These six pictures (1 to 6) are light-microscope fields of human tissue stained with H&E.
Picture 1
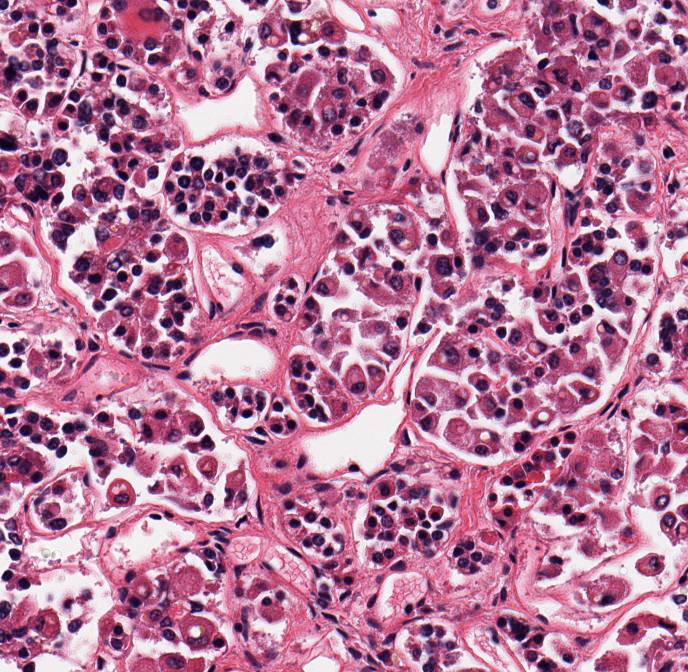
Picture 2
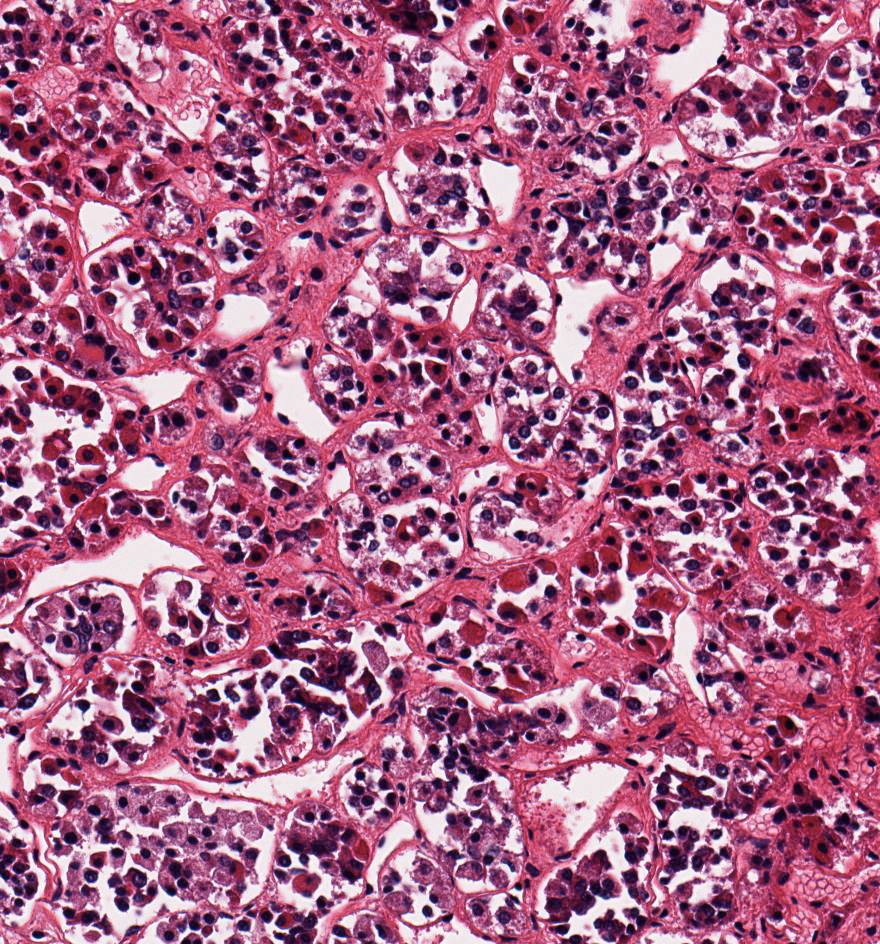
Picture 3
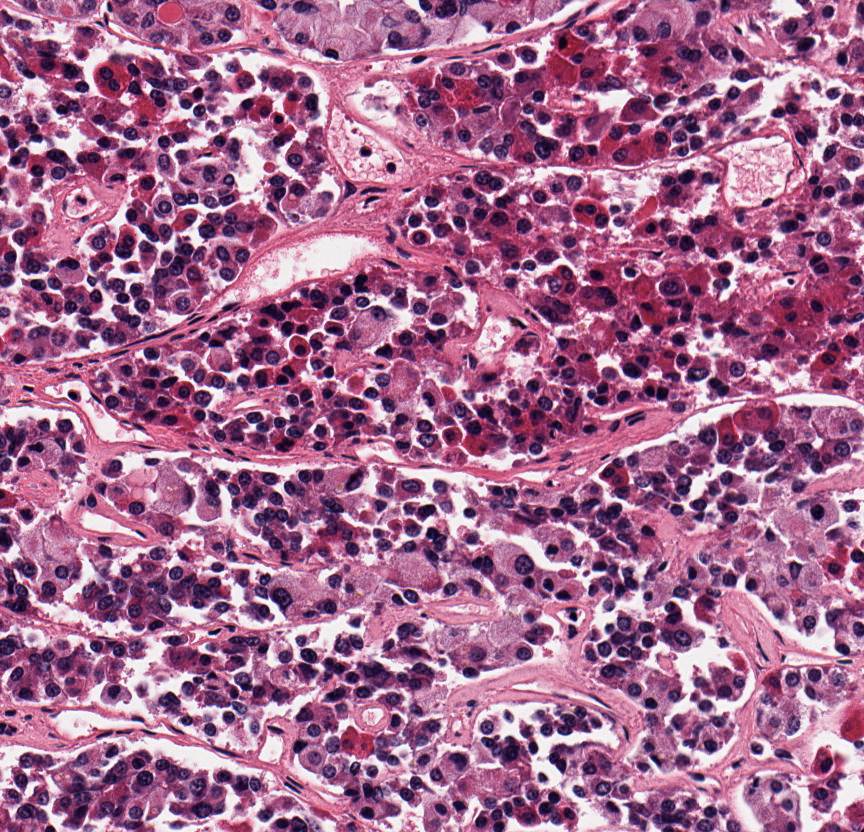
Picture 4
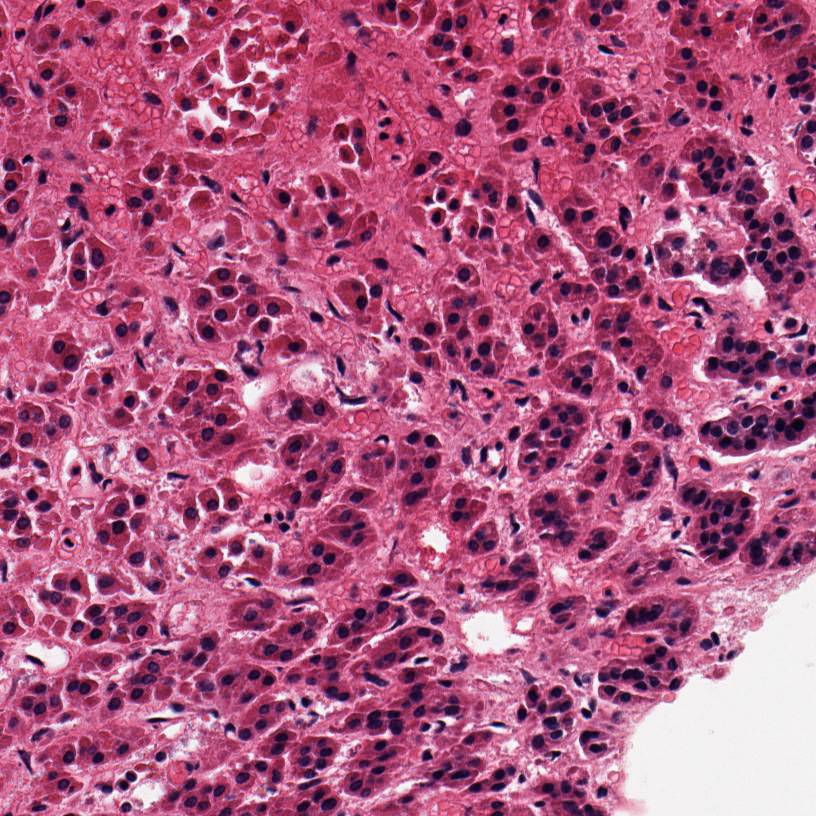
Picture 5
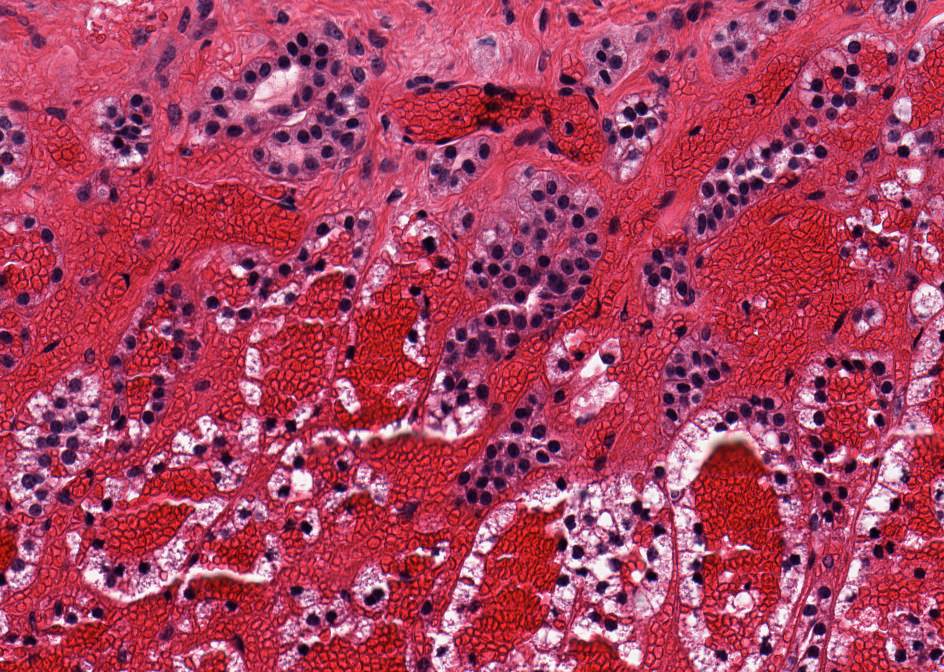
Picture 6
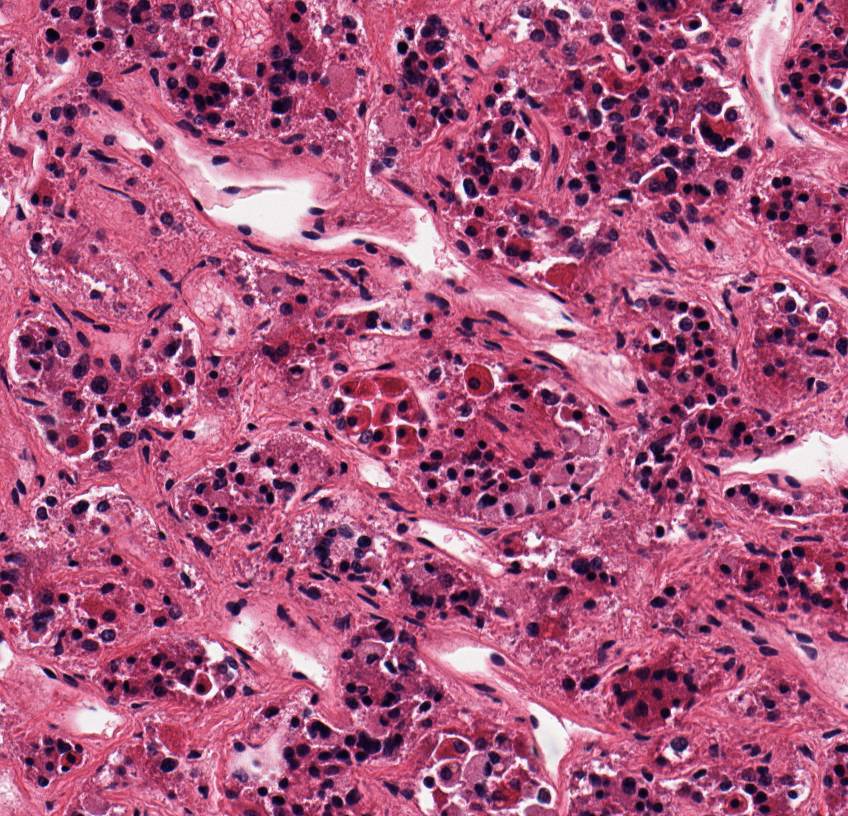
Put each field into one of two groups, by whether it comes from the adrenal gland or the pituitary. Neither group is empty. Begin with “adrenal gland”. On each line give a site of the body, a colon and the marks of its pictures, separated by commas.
adrenal gland: 4, 5
pituitary: 1, 2, 3, 6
